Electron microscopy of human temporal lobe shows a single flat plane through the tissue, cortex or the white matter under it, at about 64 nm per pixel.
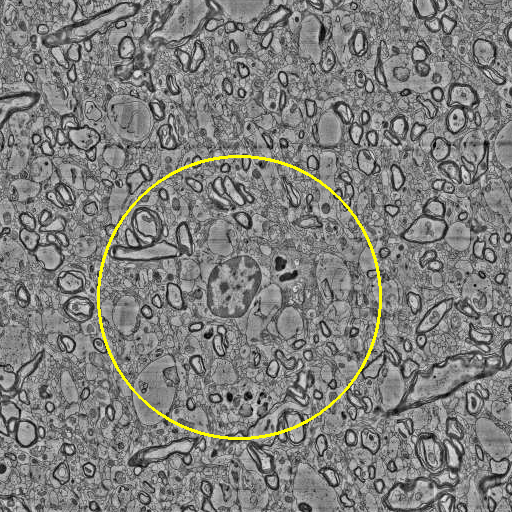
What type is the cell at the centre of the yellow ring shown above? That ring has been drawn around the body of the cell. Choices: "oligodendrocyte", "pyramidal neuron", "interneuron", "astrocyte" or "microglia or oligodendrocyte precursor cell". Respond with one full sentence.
My answer is that a microglial cell or oligodendrocyte precursor cell lies at the centre of the yellow ring above.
